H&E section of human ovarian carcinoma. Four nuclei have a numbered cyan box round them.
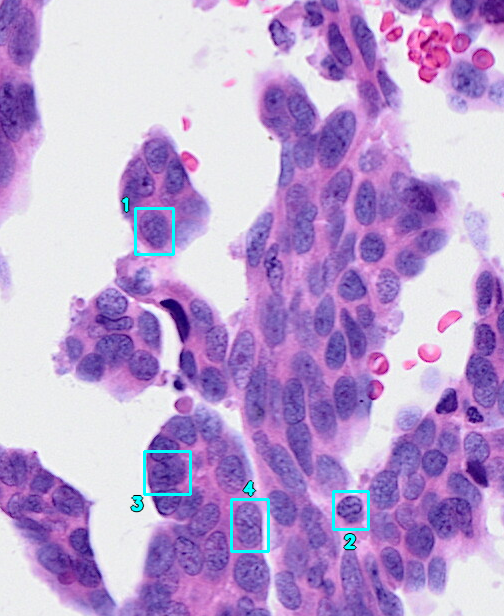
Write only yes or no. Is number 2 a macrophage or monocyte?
yes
